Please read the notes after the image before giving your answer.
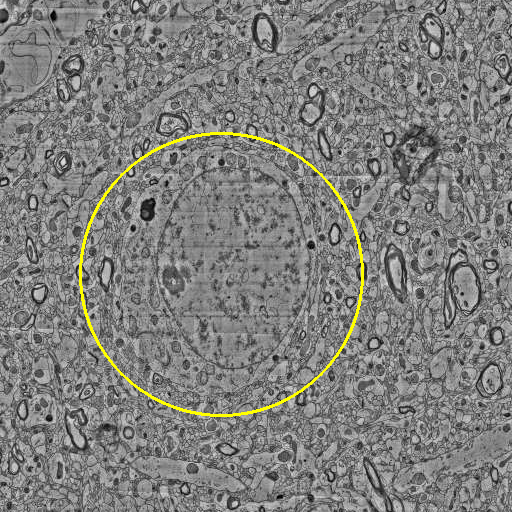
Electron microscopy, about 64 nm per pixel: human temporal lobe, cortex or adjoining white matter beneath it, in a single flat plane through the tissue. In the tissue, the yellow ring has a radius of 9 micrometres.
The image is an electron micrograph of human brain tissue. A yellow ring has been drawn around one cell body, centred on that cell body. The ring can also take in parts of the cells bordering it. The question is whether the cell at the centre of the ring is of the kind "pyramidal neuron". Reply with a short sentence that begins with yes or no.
Yes, the cell at the centre is of that kind.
